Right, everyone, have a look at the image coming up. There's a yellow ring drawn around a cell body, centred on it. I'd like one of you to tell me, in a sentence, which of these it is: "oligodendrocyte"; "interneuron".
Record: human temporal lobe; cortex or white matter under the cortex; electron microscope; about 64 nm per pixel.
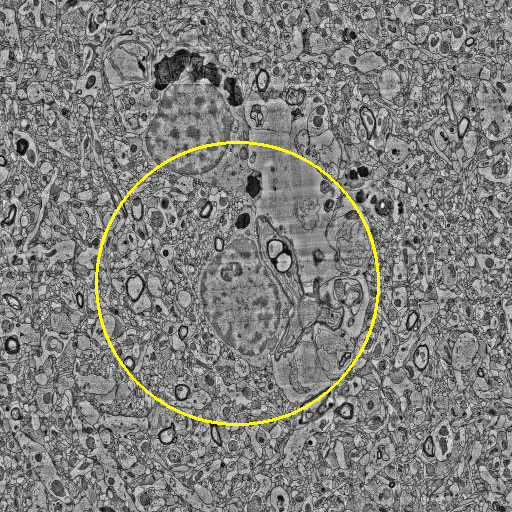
The yellow ring sits on an oligodendrocyte.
